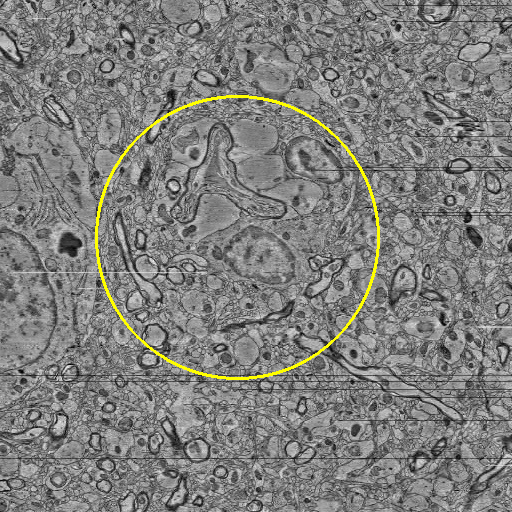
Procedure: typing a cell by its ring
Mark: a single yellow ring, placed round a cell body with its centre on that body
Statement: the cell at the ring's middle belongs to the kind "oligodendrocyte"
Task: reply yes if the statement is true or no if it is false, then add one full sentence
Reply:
Yes, this is true: the cell at the ring's centre in the picture belongs to that kind.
